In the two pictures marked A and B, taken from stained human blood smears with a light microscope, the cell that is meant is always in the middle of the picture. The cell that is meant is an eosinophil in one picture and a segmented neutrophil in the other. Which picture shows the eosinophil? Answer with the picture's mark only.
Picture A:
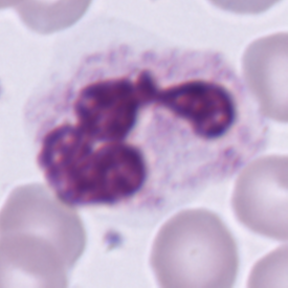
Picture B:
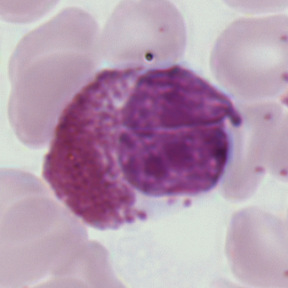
B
